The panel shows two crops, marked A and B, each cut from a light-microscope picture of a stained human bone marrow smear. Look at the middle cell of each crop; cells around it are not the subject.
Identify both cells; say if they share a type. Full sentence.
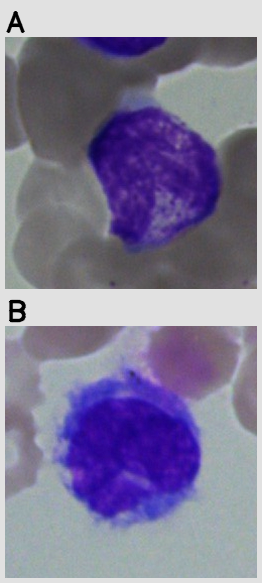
No, in this case crop A shows a metamyelocyte, and crop B shows a monocyte.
